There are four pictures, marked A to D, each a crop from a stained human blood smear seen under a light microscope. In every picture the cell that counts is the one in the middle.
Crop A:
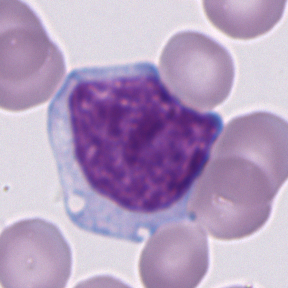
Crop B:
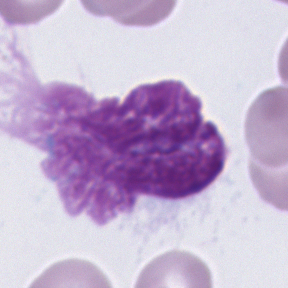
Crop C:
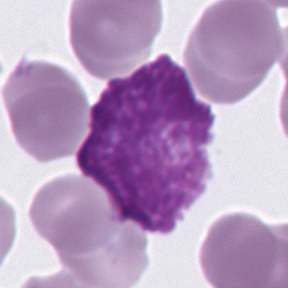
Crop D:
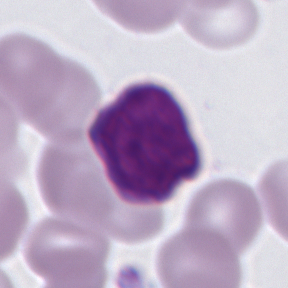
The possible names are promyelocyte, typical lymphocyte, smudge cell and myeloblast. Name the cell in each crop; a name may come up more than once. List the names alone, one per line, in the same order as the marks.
myeloblast
smudge cell
smudge cell
smudge cell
